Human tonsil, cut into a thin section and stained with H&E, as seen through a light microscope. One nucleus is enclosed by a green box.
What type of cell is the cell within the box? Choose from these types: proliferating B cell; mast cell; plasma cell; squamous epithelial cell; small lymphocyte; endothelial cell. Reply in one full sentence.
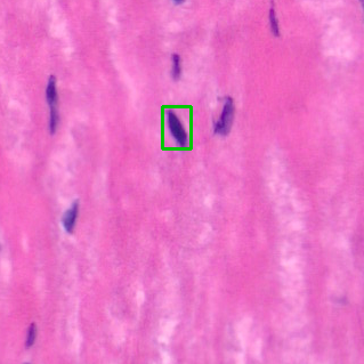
As classified here, the cell within the box is a mast cell.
